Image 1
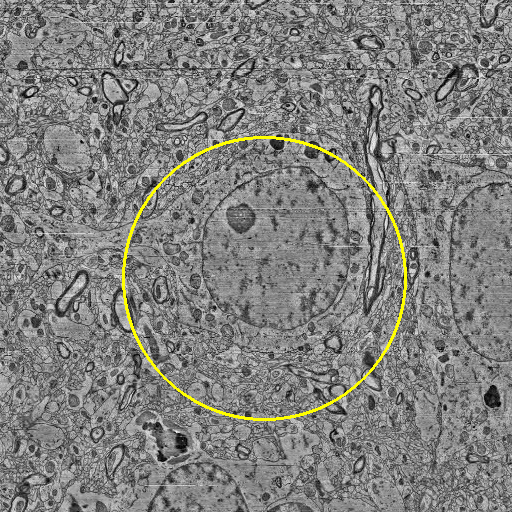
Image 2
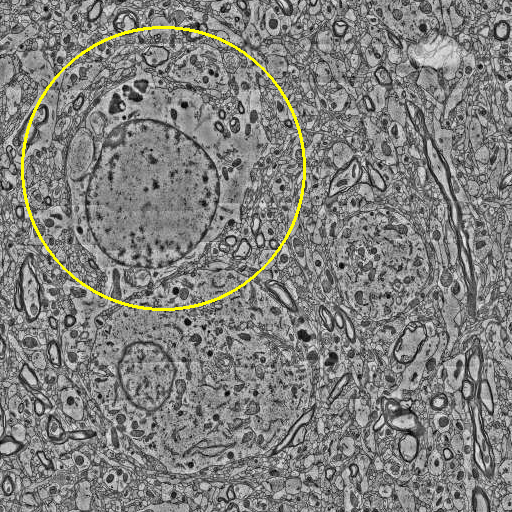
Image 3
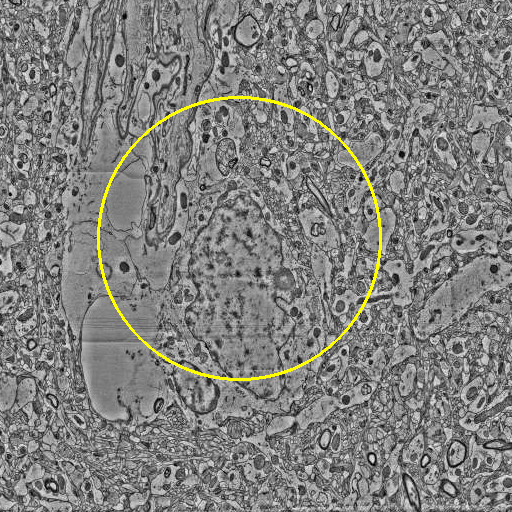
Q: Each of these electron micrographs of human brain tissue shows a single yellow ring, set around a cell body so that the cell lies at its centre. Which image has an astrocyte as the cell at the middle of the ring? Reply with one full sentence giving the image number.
In image 2, the cell lying at the ring's centre is the requested one.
